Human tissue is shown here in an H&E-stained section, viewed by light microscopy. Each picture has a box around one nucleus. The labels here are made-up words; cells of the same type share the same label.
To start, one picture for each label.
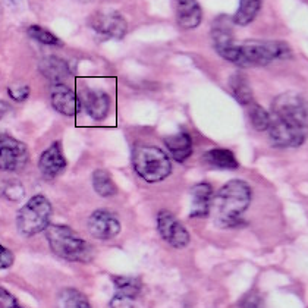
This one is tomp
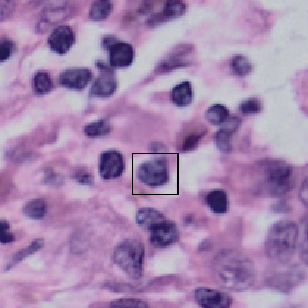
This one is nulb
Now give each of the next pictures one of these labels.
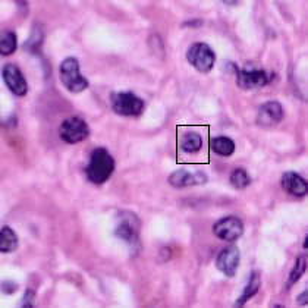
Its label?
nulb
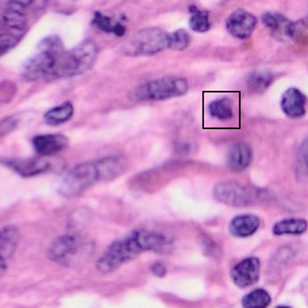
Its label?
nulb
